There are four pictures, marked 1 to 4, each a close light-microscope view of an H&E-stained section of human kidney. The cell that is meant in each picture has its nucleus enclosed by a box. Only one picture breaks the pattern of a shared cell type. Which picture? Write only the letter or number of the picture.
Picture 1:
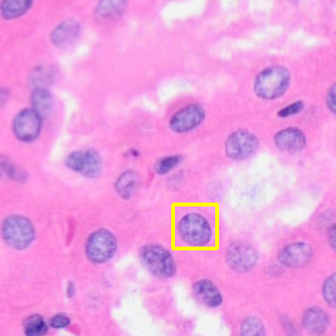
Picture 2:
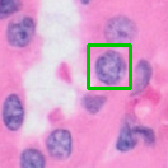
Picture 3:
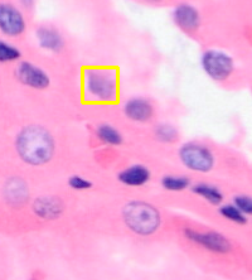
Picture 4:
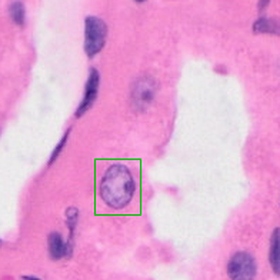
4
